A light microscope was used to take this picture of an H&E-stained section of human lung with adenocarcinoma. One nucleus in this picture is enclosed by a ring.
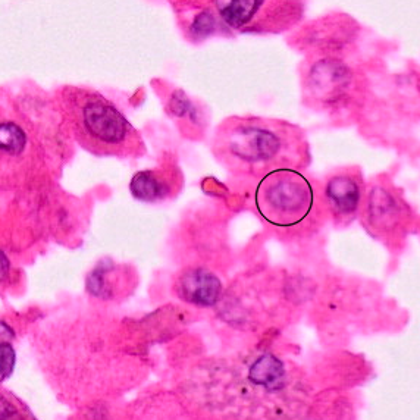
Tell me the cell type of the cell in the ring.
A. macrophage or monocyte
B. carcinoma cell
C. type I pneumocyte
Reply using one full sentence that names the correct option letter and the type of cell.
Best answer: option A, with the cell in the ring being a macrophage or monocyte.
